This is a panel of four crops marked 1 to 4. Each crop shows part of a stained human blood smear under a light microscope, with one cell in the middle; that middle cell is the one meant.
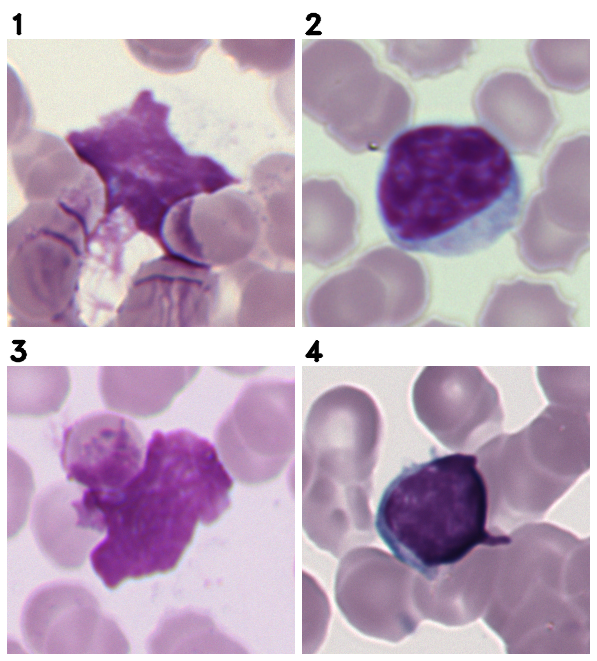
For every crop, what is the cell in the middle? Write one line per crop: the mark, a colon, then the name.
1: smudge cell
2: typical lymphocyte
3: smudge cell
4: typical lymphocyte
